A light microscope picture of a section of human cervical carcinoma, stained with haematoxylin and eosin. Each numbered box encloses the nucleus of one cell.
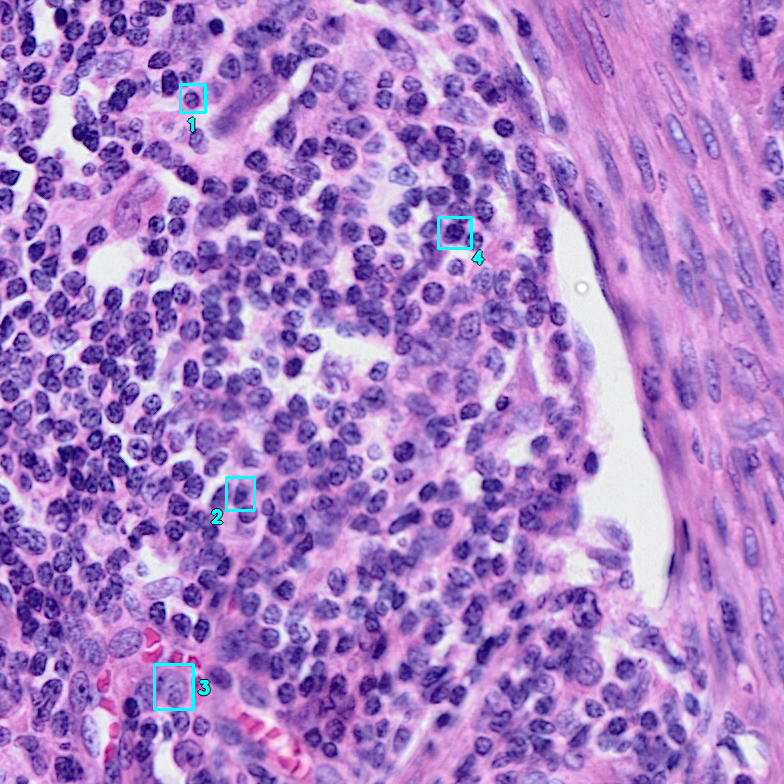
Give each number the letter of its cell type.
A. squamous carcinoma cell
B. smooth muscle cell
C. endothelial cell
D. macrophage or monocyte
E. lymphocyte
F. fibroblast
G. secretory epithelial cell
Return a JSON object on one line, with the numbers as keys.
{"1": "E", "2": "E", "3": "C", "4": "E"}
